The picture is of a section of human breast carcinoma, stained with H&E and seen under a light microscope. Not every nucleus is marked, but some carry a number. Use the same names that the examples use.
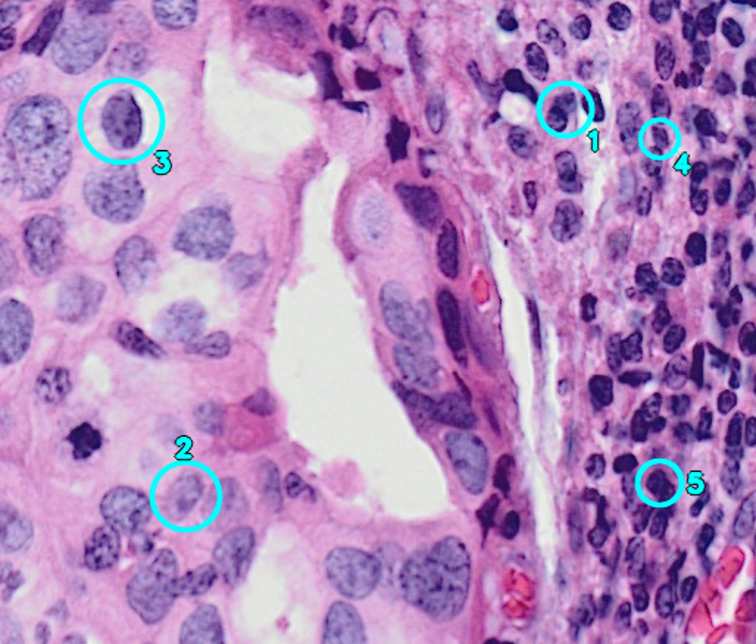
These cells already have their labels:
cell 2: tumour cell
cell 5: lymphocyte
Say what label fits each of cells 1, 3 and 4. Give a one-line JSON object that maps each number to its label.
{"1": "lymphocyte", "3": "tumour cell", "4": "lymphocyte"}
